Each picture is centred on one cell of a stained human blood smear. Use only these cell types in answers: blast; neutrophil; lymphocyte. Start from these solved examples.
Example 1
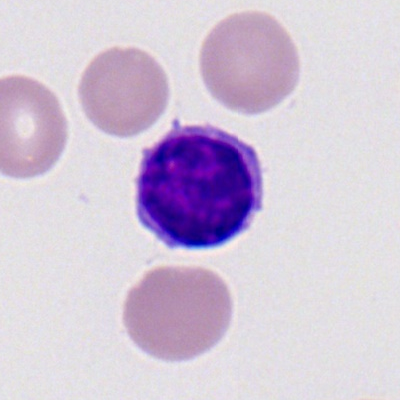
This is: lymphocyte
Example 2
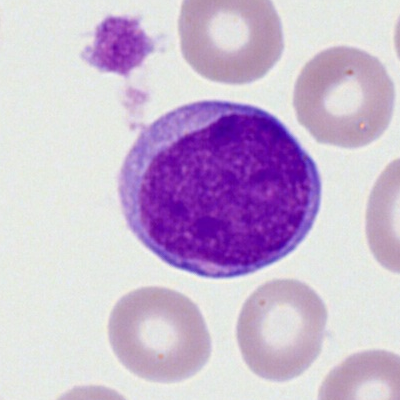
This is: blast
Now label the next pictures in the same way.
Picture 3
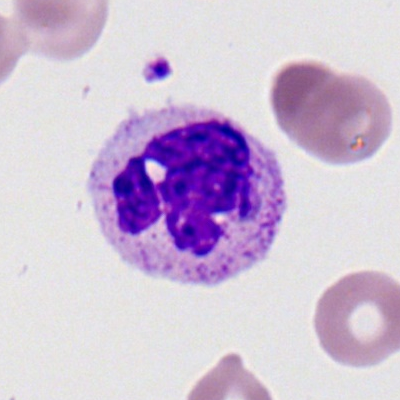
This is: neutrophil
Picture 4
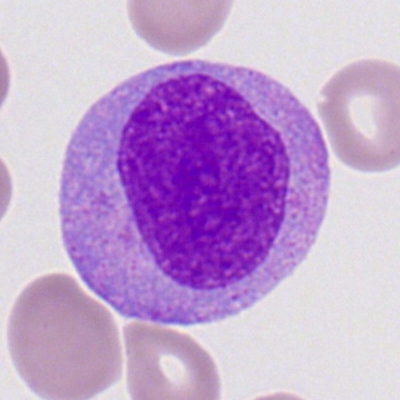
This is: blast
